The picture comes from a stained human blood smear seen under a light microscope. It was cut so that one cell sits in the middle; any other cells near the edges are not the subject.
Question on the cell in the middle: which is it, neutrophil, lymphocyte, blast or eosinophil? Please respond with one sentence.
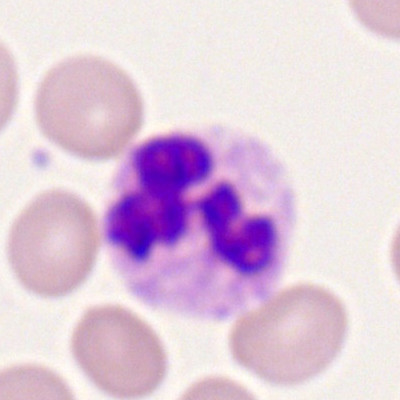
In this crop, the cell at the very middle is a neutrophil.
